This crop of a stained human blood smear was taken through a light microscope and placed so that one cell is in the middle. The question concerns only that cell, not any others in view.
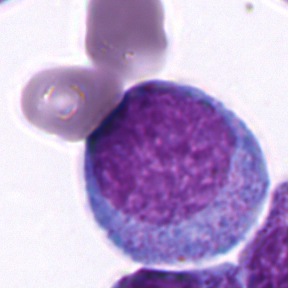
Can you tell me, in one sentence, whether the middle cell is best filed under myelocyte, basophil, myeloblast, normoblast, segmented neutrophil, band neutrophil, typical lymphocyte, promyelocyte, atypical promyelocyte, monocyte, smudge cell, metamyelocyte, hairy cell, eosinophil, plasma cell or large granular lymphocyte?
In this smear crop, the middle cell is a promyelocyte.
